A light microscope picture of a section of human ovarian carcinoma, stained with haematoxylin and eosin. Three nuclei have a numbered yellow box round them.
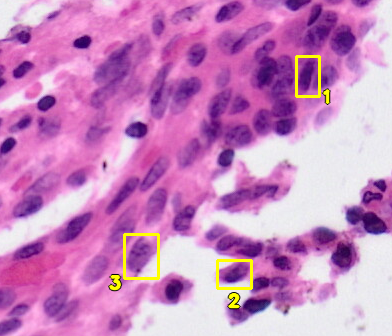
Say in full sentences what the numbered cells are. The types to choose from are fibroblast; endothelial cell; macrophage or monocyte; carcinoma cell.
Cell 1 is a carcinoma cell, cell 2 is a carcinoma cell and cell 3 is a macrophage or monocyte.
